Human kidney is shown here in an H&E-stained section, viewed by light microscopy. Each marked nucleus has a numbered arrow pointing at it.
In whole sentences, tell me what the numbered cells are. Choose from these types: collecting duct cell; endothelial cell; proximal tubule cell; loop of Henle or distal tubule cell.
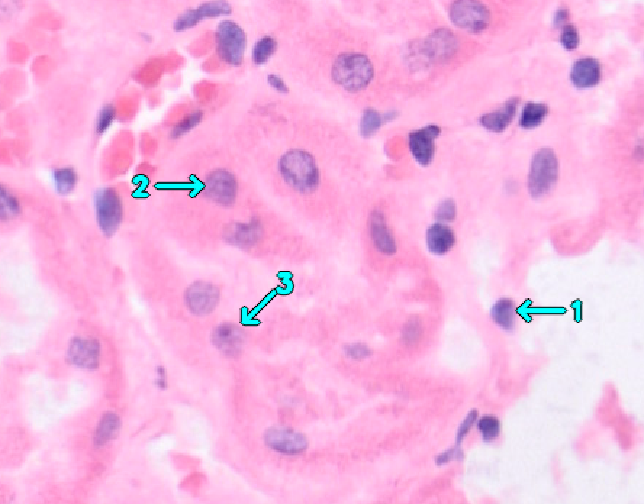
Cell 1 is an endothelial cell, cell 2 is a proximal tubule cell and cell 3 is a proximal tubule cell.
